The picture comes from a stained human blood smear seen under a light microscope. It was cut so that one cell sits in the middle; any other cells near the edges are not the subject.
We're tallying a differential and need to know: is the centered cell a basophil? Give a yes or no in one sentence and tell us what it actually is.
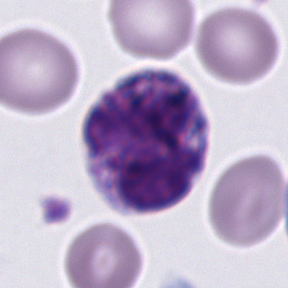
Yes, the cell in the central position is a basophil.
